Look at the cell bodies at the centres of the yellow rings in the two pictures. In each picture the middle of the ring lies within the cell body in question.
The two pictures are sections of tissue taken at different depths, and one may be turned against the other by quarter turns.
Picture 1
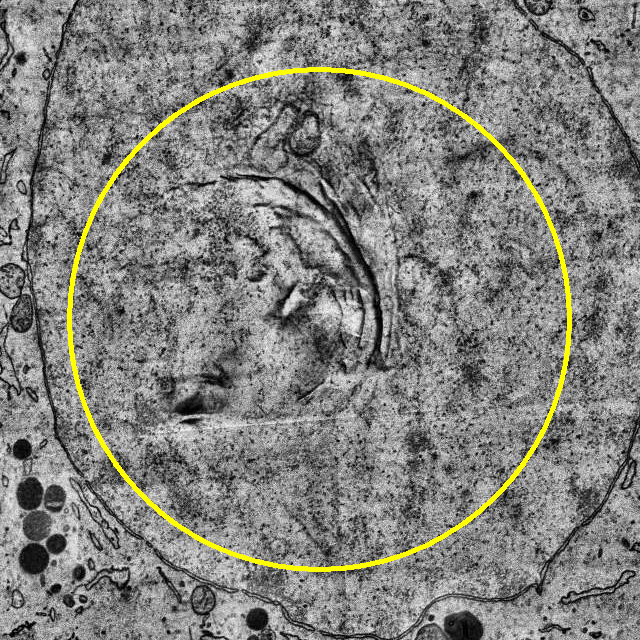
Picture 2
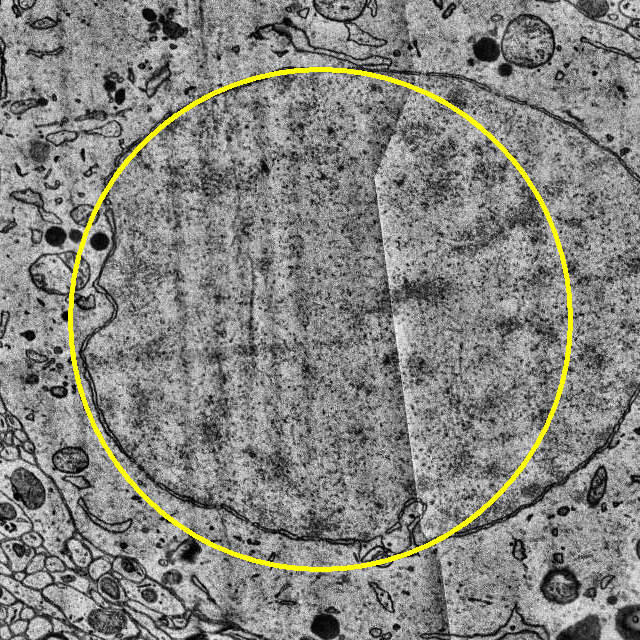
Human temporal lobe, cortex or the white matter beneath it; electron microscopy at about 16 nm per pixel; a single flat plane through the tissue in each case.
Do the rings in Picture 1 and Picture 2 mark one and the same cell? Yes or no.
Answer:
yes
